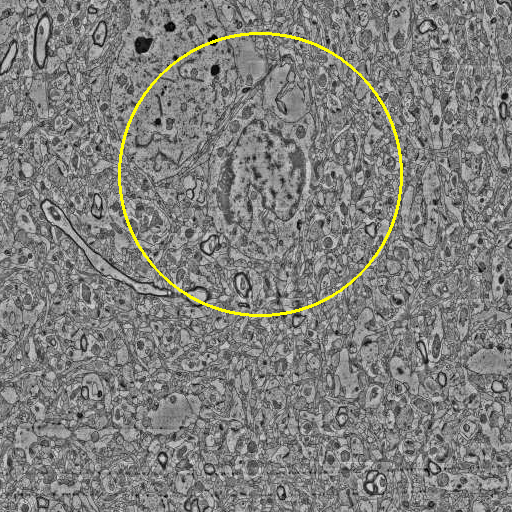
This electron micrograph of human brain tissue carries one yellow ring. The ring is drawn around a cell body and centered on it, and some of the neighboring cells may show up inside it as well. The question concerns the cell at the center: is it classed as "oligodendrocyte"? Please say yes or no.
No, it is classed as another kind.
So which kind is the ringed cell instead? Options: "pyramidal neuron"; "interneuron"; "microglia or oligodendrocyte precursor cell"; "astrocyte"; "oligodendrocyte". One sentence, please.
So the cell at the centre is an interneuron.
